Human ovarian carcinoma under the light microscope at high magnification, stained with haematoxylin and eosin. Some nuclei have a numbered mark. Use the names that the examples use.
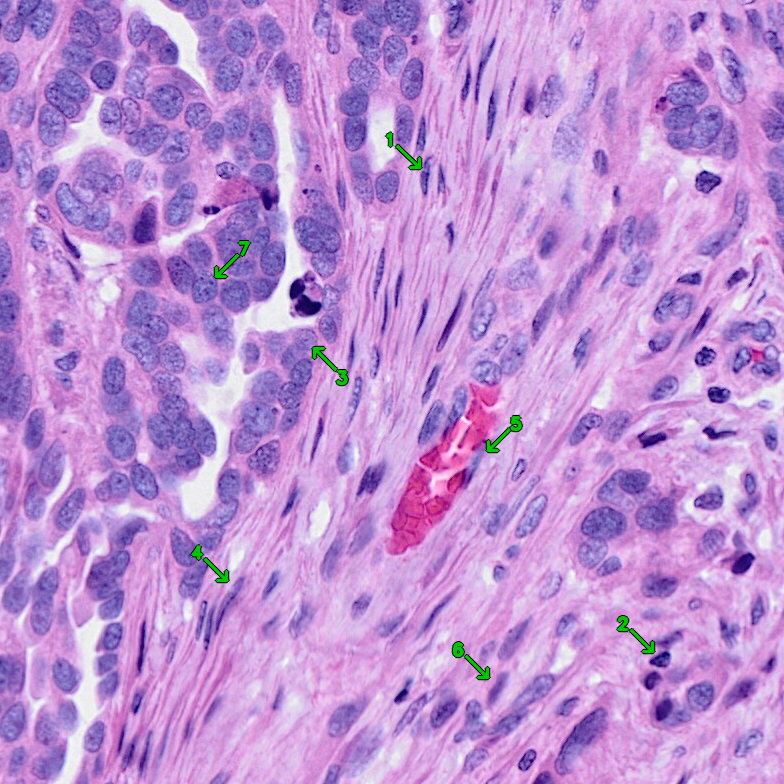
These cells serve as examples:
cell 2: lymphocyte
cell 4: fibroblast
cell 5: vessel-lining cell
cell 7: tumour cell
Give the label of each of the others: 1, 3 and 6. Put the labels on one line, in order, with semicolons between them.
fibroblast; tumour cell; fibroblast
